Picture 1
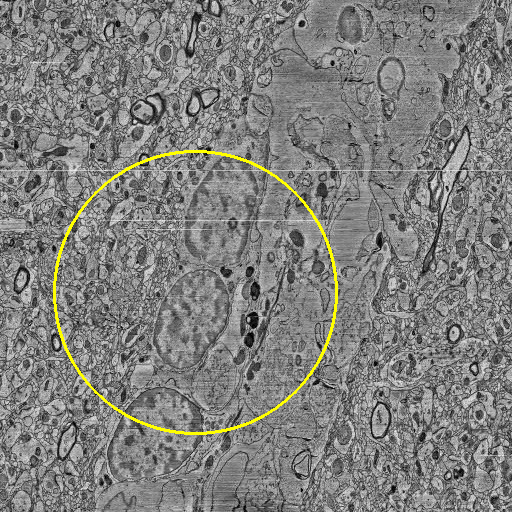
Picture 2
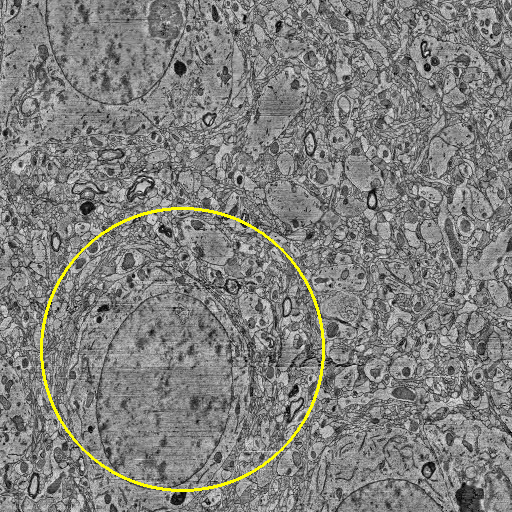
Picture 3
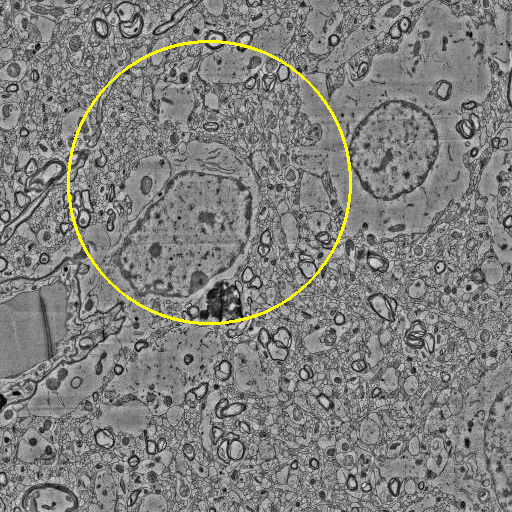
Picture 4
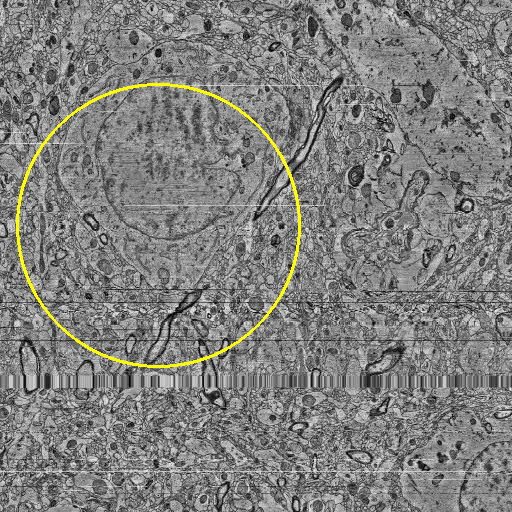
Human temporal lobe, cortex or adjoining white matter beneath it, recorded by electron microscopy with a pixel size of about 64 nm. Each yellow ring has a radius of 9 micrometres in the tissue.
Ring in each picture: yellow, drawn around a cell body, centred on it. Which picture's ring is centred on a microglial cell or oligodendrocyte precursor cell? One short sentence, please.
Picture 3 is the one.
